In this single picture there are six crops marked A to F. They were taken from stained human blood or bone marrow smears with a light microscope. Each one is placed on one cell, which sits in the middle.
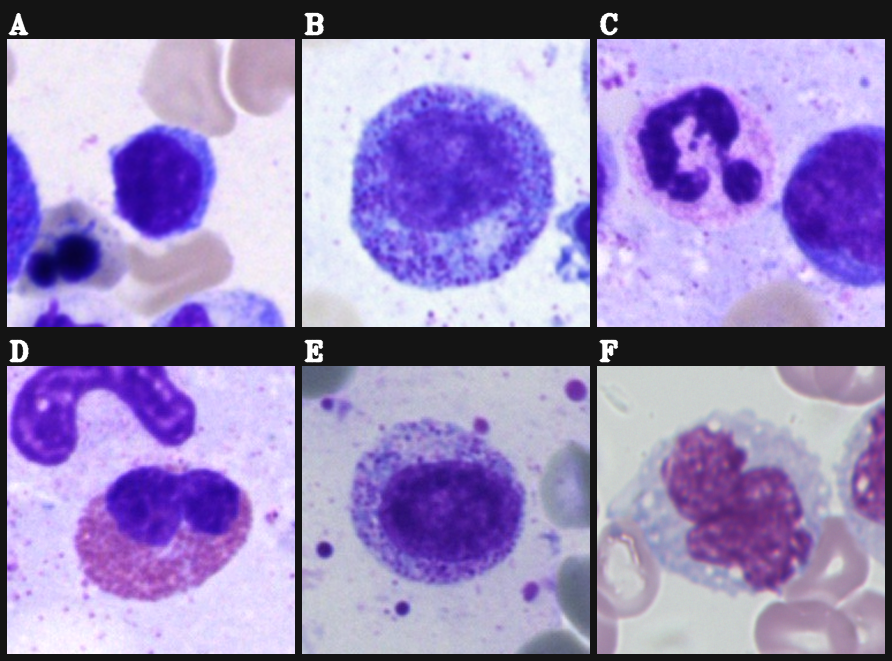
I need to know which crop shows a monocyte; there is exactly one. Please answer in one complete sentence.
Crop F is identified as the crop showing a monocyte.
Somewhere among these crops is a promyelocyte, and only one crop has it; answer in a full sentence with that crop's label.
So the crop with a promyelocyte at its center is crop B.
